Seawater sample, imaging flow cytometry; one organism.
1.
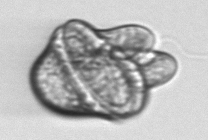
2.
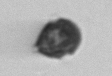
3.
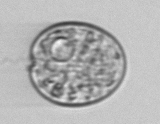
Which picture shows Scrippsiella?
Picture 2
